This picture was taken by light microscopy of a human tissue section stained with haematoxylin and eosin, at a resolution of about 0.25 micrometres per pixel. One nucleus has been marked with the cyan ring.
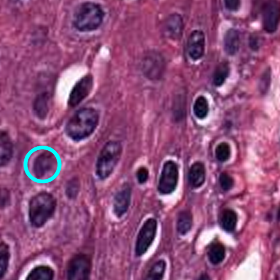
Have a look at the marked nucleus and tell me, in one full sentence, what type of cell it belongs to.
The nucleus marked in the section is that of a squamous epithelial cell.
